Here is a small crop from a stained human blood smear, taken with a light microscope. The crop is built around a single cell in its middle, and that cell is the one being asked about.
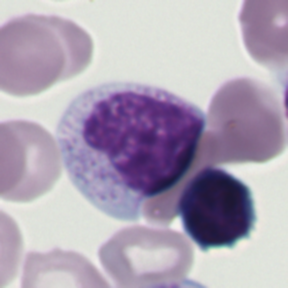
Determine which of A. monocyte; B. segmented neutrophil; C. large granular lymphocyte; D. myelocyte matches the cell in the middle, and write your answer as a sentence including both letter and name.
The centrally positioned cell is a myelocyte, consistent with option D, which is correct.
